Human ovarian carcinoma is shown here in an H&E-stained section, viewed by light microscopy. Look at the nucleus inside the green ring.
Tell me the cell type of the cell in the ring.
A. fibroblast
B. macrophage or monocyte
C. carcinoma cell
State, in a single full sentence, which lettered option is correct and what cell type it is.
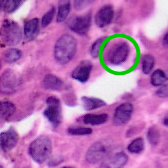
In short, option C: the cell in the ring is a carcinoma cell.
